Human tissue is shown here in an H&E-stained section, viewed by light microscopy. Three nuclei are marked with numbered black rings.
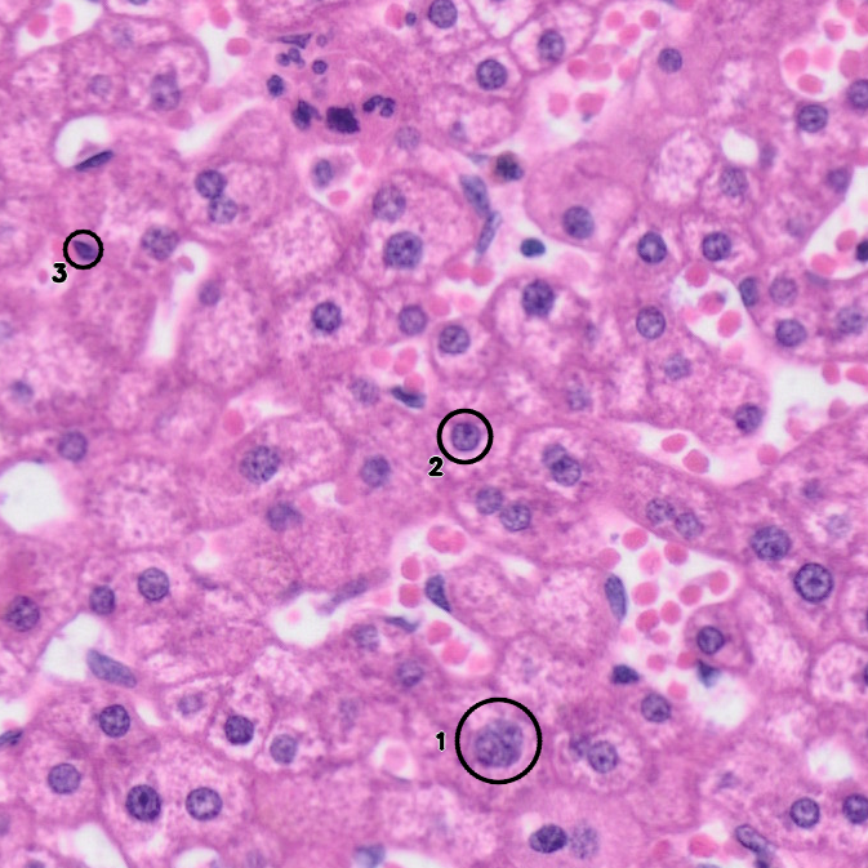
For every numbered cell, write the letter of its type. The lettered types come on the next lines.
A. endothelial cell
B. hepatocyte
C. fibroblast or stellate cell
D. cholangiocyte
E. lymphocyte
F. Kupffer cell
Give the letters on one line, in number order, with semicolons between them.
B; B; C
